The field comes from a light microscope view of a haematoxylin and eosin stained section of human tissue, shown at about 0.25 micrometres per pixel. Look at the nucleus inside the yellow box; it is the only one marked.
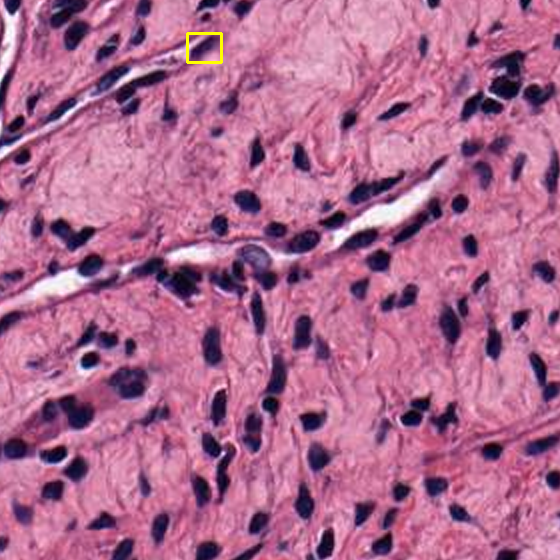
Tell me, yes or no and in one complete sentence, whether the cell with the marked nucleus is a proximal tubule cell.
No, the marked nucleus does not form part of a proximal tubule cell, being part of a supporting cell.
